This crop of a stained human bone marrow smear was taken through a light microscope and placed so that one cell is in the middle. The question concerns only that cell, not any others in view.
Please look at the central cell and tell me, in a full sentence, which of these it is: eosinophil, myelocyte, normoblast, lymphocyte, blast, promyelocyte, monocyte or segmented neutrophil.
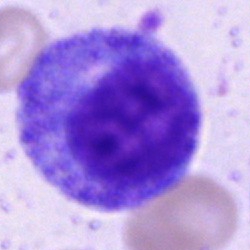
The cell positioned in the middle of the field is a promyelocyte.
